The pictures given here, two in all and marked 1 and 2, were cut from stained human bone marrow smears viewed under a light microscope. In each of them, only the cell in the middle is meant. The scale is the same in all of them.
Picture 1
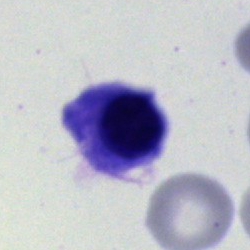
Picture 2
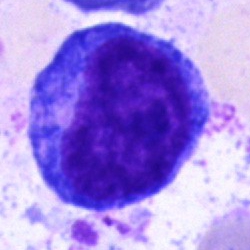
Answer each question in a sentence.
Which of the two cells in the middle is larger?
Larger is the cell in picture 2, at roughly 4 times the area of the other.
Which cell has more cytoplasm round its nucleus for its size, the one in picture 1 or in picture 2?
The nucleus fills less of the cell in picture 1 than in picture 2.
